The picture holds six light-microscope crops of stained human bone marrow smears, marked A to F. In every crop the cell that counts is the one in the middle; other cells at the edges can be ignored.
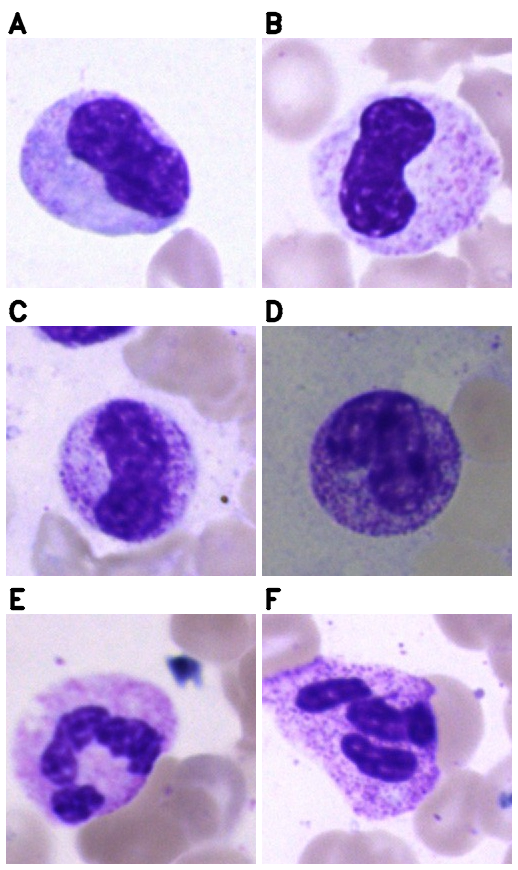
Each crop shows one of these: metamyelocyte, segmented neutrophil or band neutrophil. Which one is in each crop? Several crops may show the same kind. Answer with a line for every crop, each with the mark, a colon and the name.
A: metamyelocyte
B: band neutrophil
C: metamyelocyte
D: metamyelocyte
E: segmented neutrophil
F: segmented neutrophil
